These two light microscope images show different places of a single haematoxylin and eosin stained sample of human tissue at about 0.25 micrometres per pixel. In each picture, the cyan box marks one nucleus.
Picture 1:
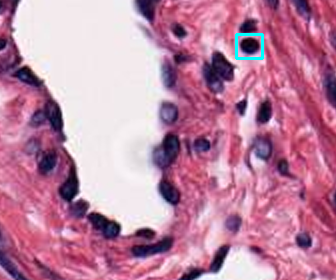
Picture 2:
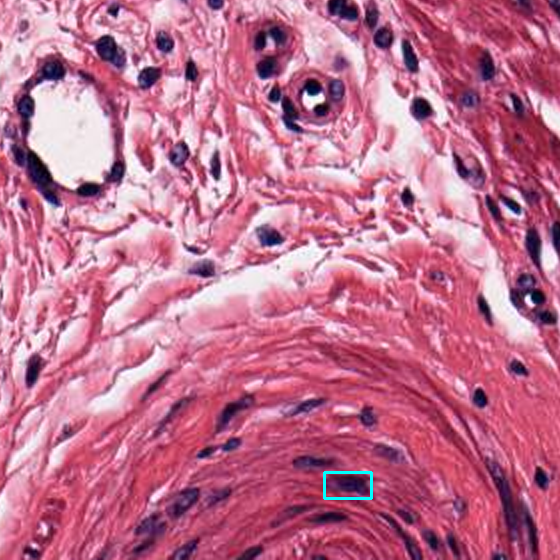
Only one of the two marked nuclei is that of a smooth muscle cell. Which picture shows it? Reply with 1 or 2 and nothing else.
2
